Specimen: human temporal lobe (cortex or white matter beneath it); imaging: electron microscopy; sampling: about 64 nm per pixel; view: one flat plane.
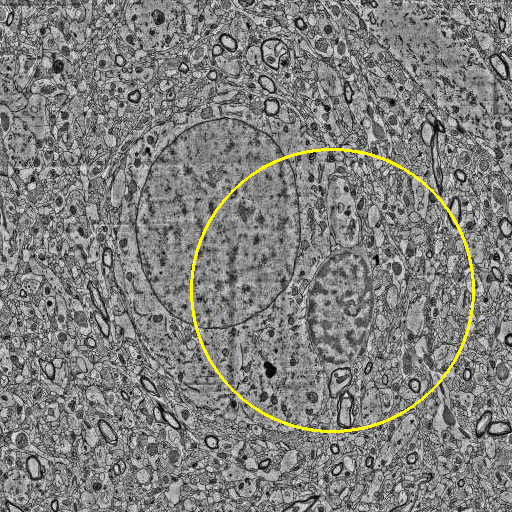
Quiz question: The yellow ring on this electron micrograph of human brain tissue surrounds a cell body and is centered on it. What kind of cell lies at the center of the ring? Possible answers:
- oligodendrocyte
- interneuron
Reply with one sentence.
The ring's center lies on an oligodendrocyte.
